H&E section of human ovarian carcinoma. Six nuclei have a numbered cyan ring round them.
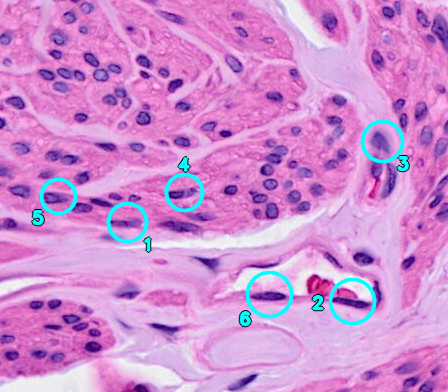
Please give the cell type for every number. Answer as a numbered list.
1. smooth muscle cell
2. endothelial cell
3. smooth muscle cell
4. smooth muscle cell
5. smooth muscle cell
6. endothelial cell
